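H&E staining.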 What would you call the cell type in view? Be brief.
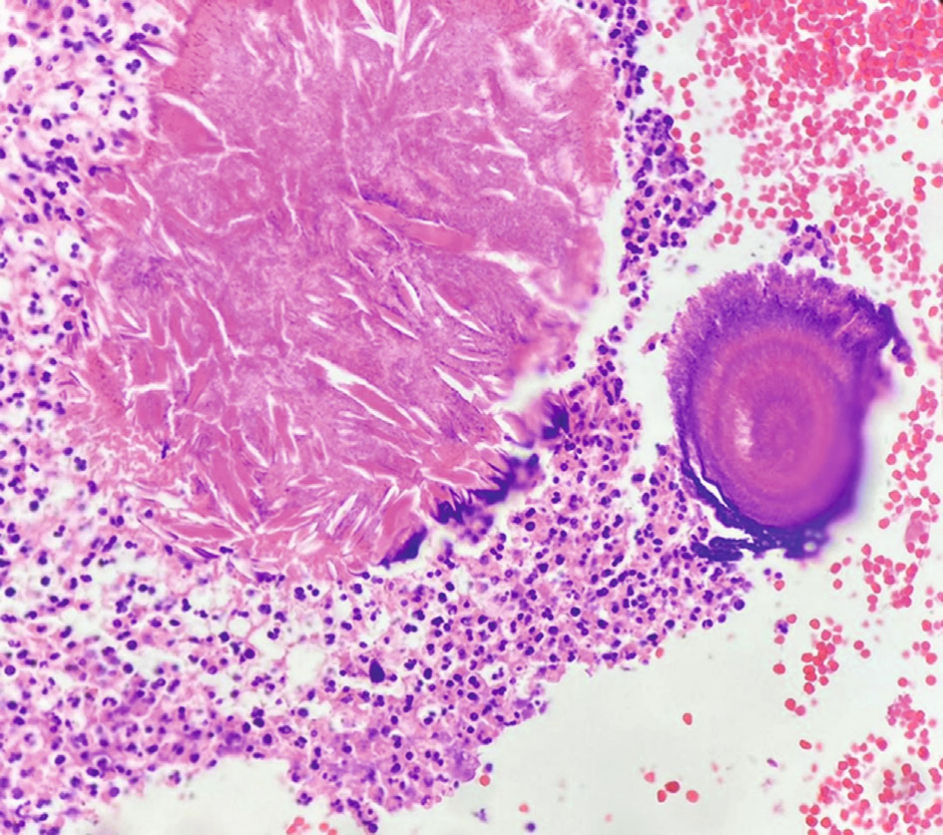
Acute inflammatory cells.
